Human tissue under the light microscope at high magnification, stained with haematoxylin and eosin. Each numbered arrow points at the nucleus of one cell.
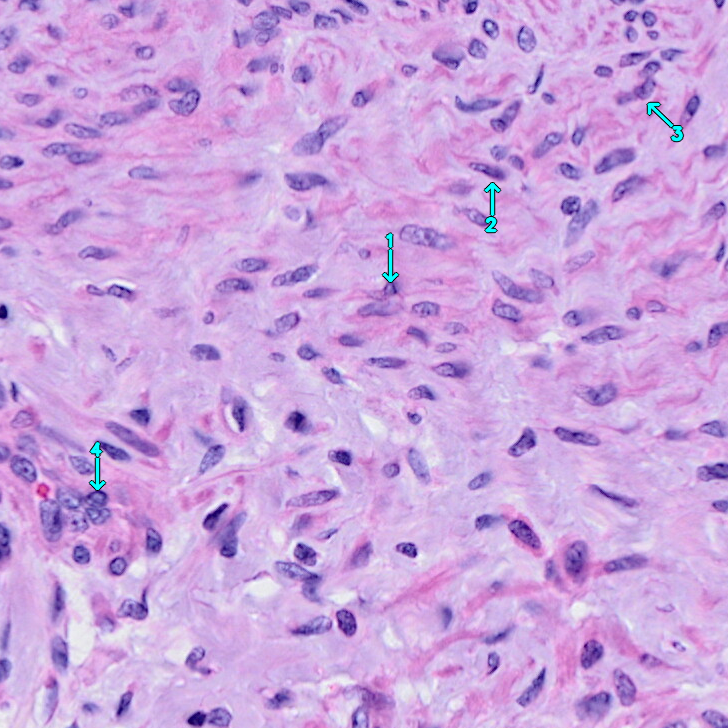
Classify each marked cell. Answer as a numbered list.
1. smooth muscle cell
2. smooth muscle cell
3. smooth muscle cell
4. endothelial cell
